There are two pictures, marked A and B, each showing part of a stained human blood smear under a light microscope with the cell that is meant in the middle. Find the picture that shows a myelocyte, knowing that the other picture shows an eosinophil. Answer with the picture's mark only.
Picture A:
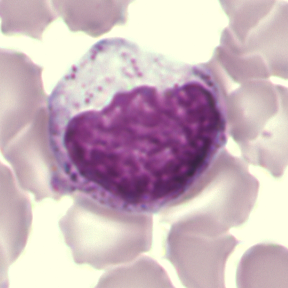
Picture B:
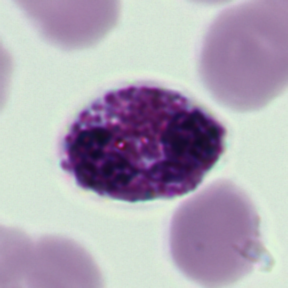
A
